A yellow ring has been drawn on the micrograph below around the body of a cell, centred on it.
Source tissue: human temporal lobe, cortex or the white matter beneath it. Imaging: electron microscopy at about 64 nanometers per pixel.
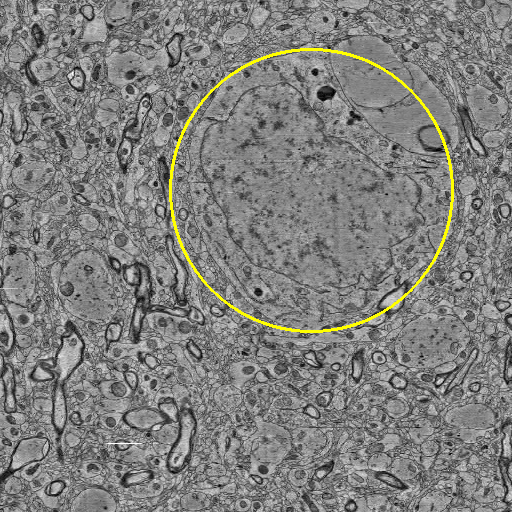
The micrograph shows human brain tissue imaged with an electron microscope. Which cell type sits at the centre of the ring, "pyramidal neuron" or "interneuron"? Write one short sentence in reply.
The cell sitting at the centre of the ring is an interneuron.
